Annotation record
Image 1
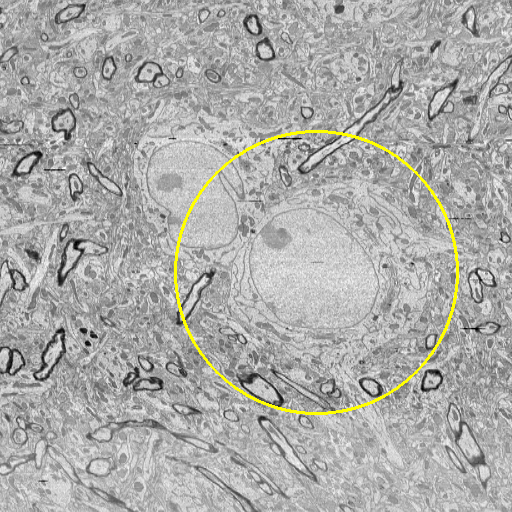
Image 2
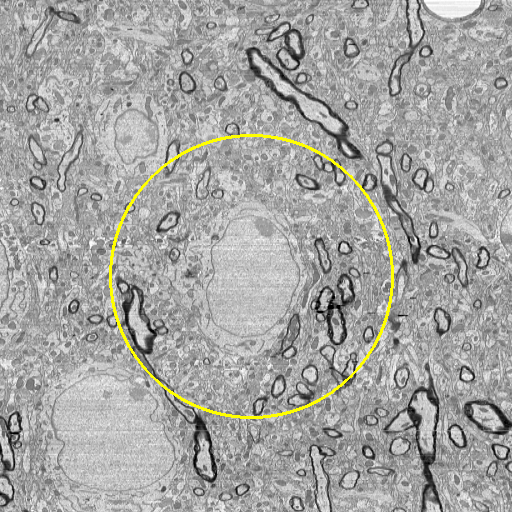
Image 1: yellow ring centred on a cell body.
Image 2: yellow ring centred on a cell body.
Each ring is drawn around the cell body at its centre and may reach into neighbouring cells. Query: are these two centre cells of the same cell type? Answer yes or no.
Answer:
yes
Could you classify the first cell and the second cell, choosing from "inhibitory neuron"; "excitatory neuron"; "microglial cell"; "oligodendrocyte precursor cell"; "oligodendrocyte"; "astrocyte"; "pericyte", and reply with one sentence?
Each of the two rings is centred on an excitatory neuron.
